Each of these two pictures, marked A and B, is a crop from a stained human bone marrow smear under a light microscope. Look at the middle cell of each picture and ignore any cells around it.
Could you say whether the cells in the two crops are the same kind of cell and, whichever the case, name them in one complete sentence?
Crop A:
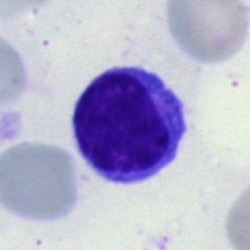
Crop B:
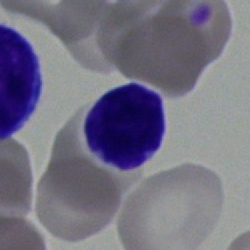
Yes, the middle cells in the two crops are lymphocytes.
